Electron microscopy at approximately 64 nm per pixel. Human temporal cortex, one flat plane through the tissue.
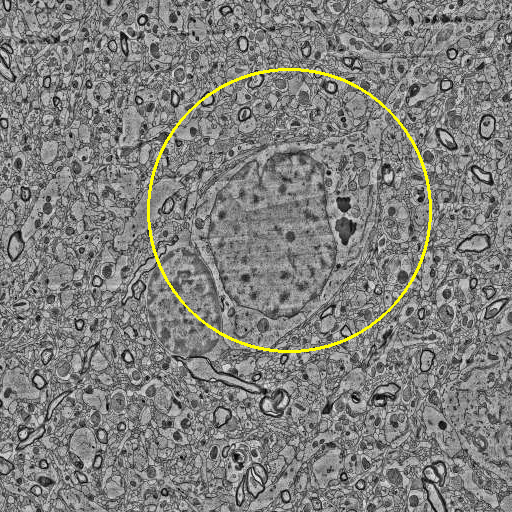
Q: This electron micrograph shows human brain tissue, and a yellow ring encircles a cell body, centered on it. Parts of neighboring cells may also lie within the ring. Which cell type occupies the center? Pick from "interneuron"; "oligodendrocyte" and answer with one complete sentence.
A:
What sits at the ring's center in this micrograph is an interneuron, among those choices.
